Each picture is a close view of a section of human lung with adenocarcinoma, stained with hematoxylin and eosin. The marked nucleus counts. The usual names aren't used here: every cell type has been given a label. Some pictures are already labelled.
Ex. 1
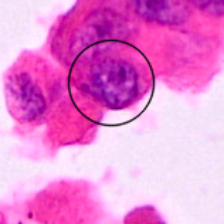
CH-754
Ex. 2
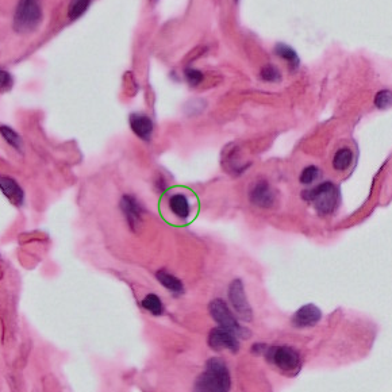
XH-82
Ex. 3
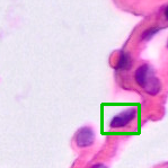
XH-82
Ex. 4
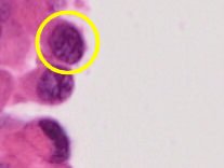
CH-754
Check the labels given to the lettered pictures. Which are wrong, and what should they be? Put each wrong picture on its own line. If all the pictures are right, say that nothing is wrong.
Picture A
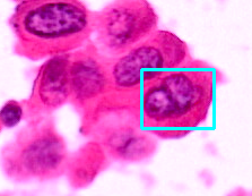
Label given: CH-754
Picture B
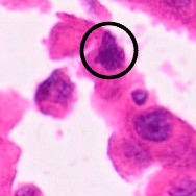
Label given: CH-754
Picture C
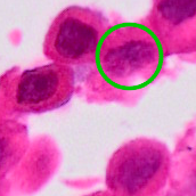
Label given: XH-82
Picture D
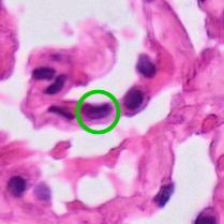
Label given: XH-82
C: not XH-82 but CH-754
